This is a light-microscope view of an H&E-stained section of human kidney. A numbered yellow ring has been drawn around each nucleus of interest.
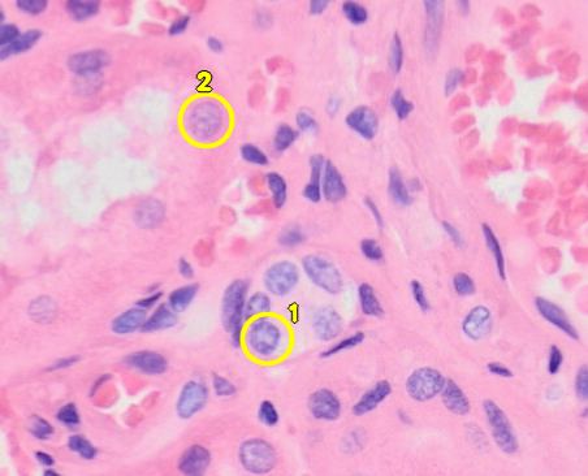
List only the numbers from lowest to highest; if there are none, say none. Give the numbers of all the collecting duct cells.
1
